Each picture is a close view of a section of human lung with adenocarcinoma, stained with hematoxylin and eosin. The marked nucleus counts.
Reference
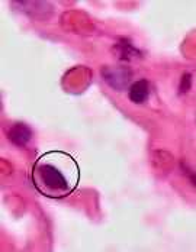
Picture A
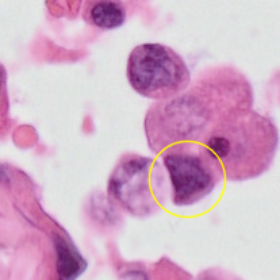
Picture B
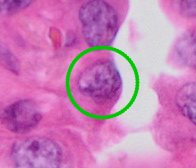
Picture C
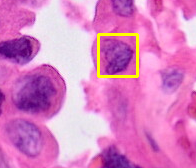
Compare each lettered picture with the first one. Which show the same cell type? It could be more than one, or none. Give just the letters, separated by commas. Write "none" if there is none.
none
